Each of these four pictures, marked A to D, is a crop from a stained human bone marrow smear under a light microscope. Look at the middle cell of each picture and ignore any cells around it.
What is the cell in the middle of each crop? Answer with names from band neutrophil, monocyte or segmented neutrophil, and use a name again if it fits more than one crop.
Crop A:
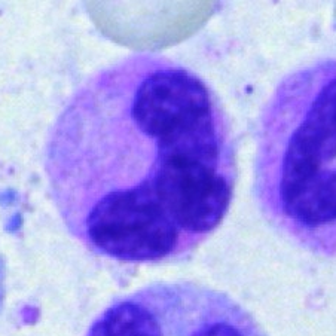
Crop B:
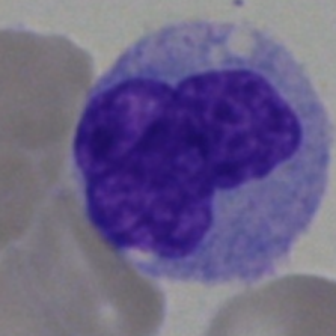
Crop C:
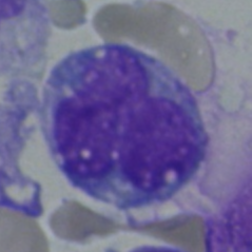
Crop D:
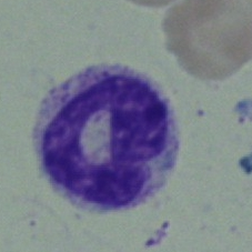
A: segmented neutrophil
B: monocyte
C: monocyte
D: band neutrophil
